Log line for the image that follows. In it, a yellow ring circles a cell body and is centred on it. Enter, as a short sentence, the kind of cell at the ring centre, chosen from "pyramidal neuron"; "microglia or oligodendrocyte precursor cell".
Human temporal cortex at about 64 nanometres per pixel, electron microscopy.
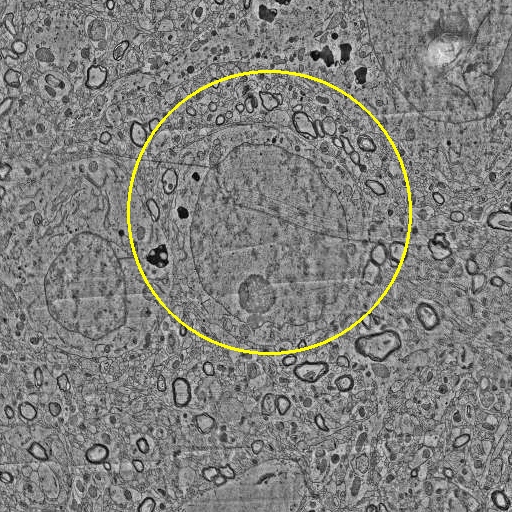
The ring centre is occupied by a pyramidal neuron.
